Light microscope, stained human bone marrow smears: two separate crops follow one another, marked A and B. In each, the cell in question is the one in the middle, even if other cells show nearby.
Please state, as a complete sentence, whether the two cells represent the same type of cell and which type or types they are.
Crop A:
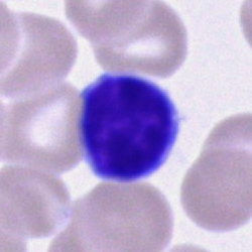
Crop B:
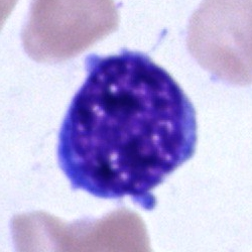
No, in crop B the central cell is a blast, and in crop A it is a lymphocyte.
